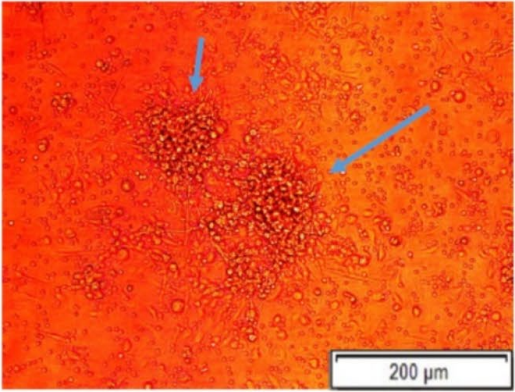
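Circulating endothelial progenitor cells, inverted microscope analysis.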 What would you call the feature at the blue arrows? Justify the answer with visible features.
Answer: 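Colonies. Two dense, roughly round clusters of packed rounded cells lie at the arrow tips. The clusters are surrounded by looser, scattered cells.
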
